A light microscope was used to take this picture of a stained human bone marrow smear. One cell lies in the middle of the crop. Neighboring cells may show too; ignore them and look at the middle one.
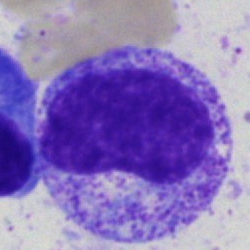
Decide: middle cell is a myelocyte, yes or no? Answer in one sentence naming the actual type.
Yes, the identification of the central cell as a myelocyte is correct.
